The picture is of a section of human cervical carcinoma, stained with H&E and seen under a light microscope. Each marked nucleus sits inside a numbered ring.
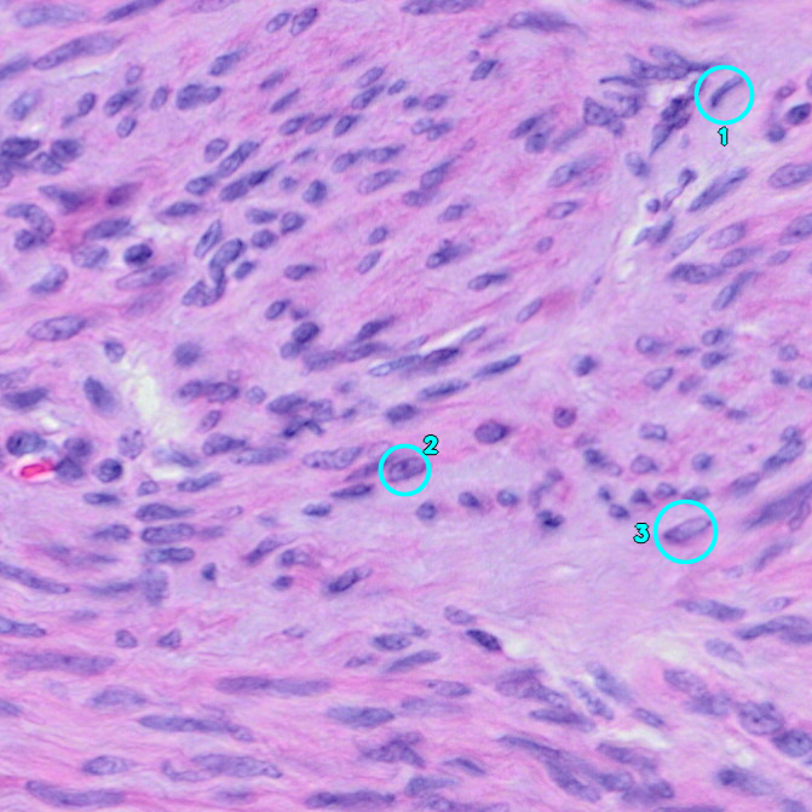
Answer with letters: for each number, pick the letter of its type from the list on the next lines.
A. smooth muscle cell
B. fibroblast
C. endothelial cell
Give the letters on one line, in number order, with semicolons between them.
B; A; A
